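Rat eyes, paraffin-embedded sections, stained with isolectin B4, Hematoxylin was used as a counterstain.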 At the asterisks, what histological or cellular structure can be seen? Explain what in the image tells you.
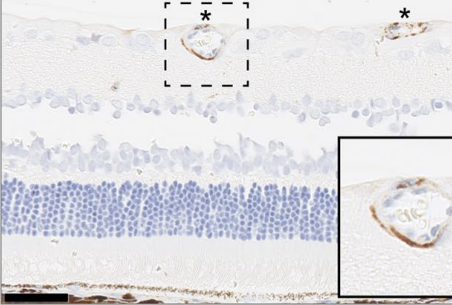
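The asterisks sit on round lumens in the innermost layer of a layered neural tissue. The lumens contain round cells resembling red blood cells. That points to this answer: retinal vessels.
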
